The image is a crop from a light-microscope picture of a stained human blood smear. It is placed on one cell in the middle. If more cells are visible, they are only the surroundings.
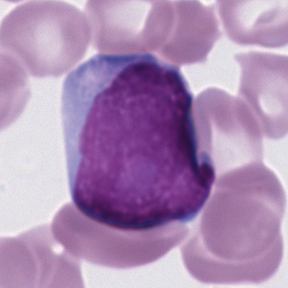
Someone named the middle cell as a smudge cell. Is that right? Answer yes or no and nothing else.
no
